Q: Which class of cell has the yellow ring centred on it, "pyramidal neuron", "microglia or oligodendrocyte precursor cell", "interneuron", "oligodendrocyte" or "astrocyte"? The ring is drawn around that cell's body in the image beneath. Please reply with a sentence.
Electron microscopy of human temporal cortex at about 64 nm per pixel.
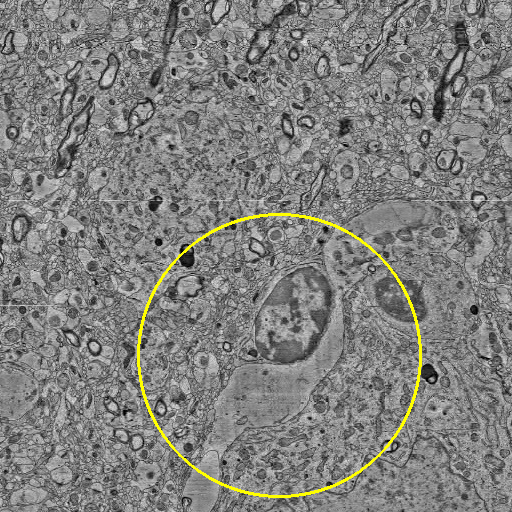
It is centred on a microglial cell or oligodendrocyte precursor cell.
